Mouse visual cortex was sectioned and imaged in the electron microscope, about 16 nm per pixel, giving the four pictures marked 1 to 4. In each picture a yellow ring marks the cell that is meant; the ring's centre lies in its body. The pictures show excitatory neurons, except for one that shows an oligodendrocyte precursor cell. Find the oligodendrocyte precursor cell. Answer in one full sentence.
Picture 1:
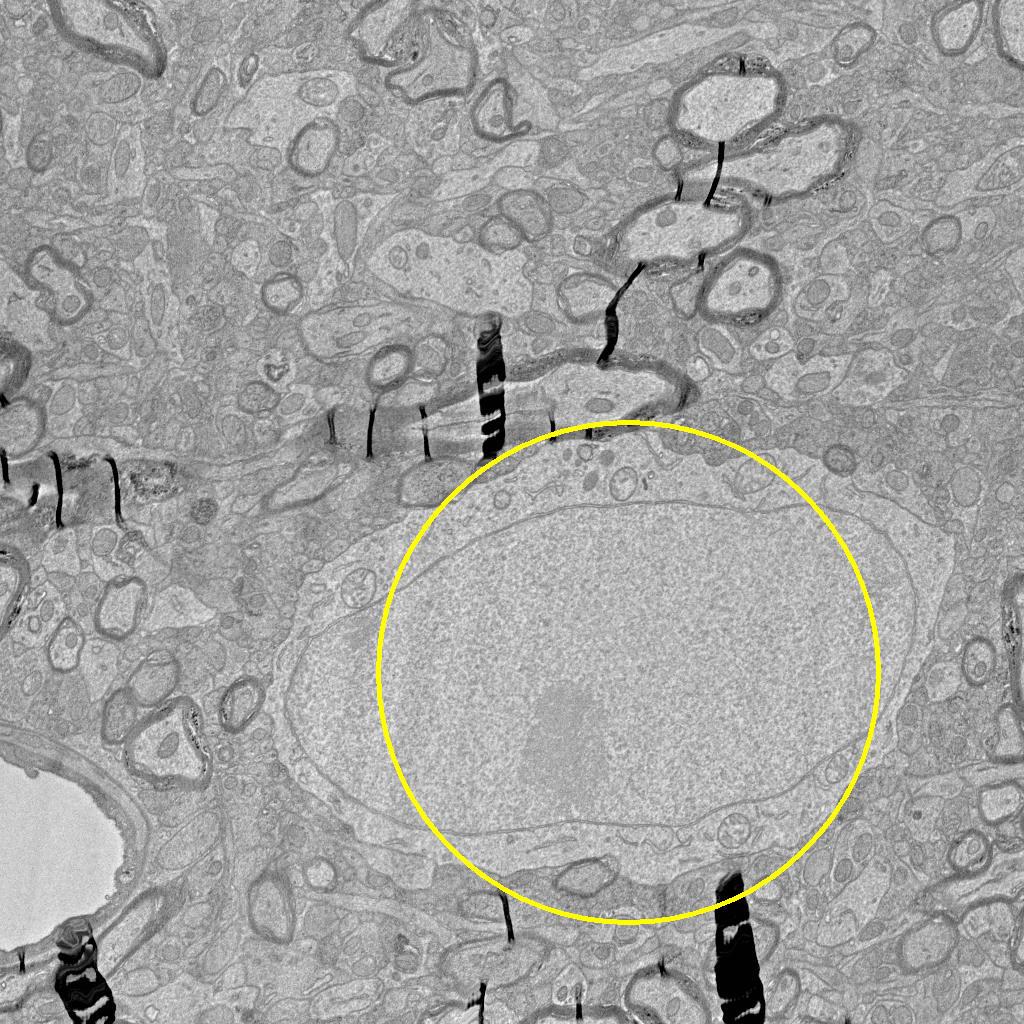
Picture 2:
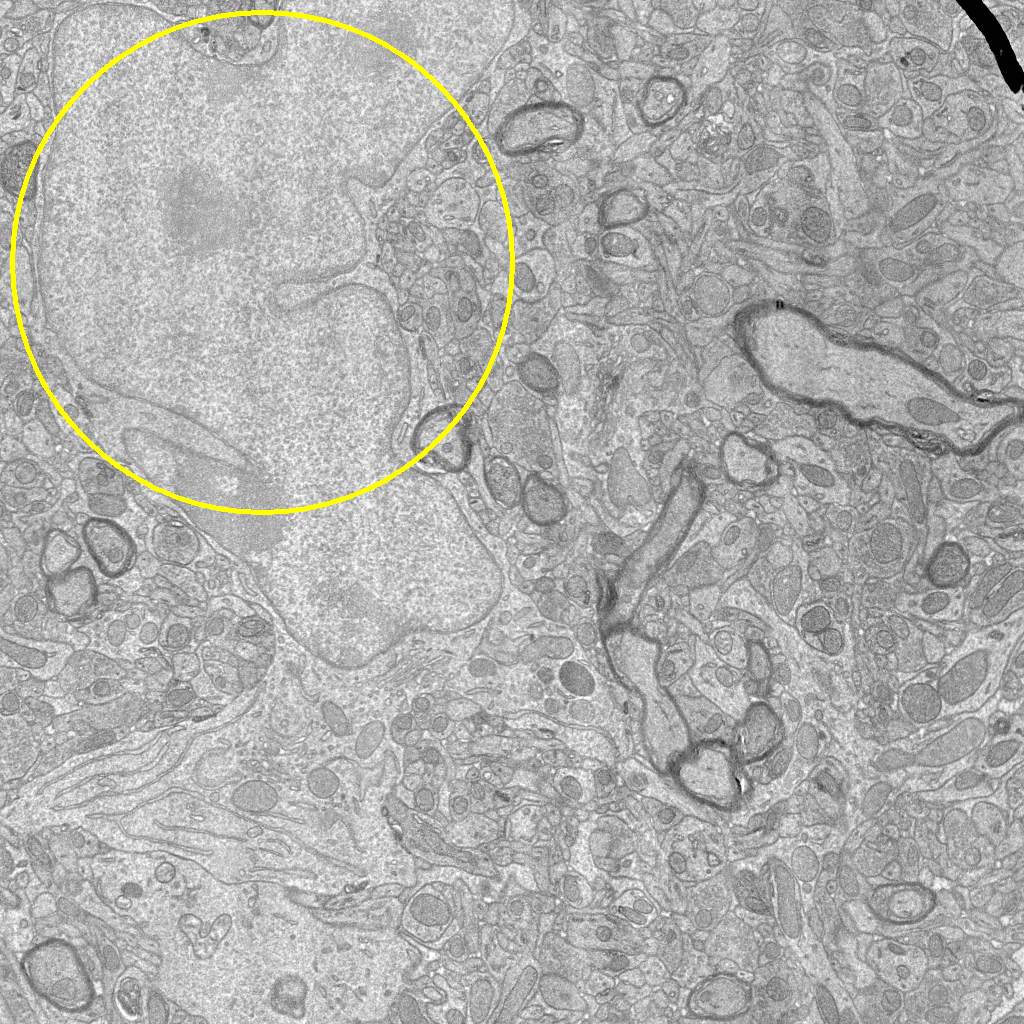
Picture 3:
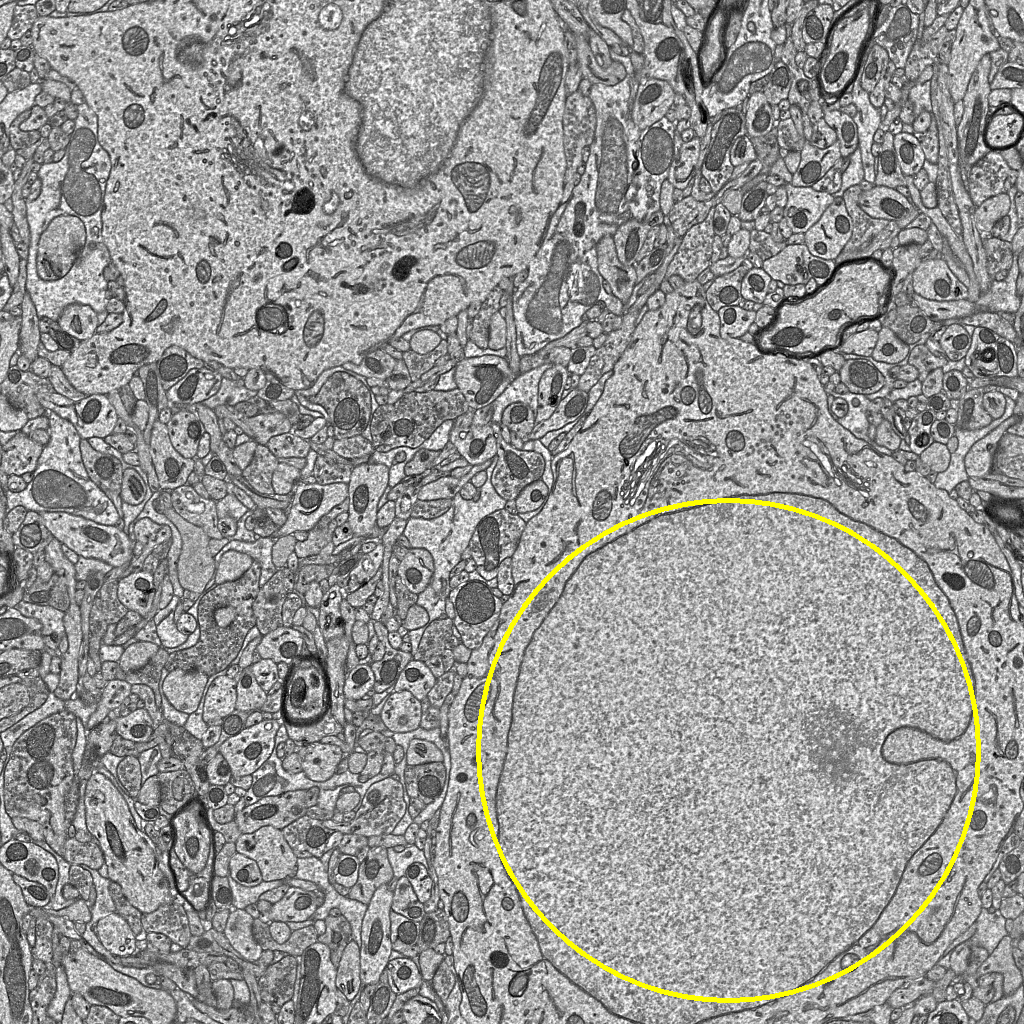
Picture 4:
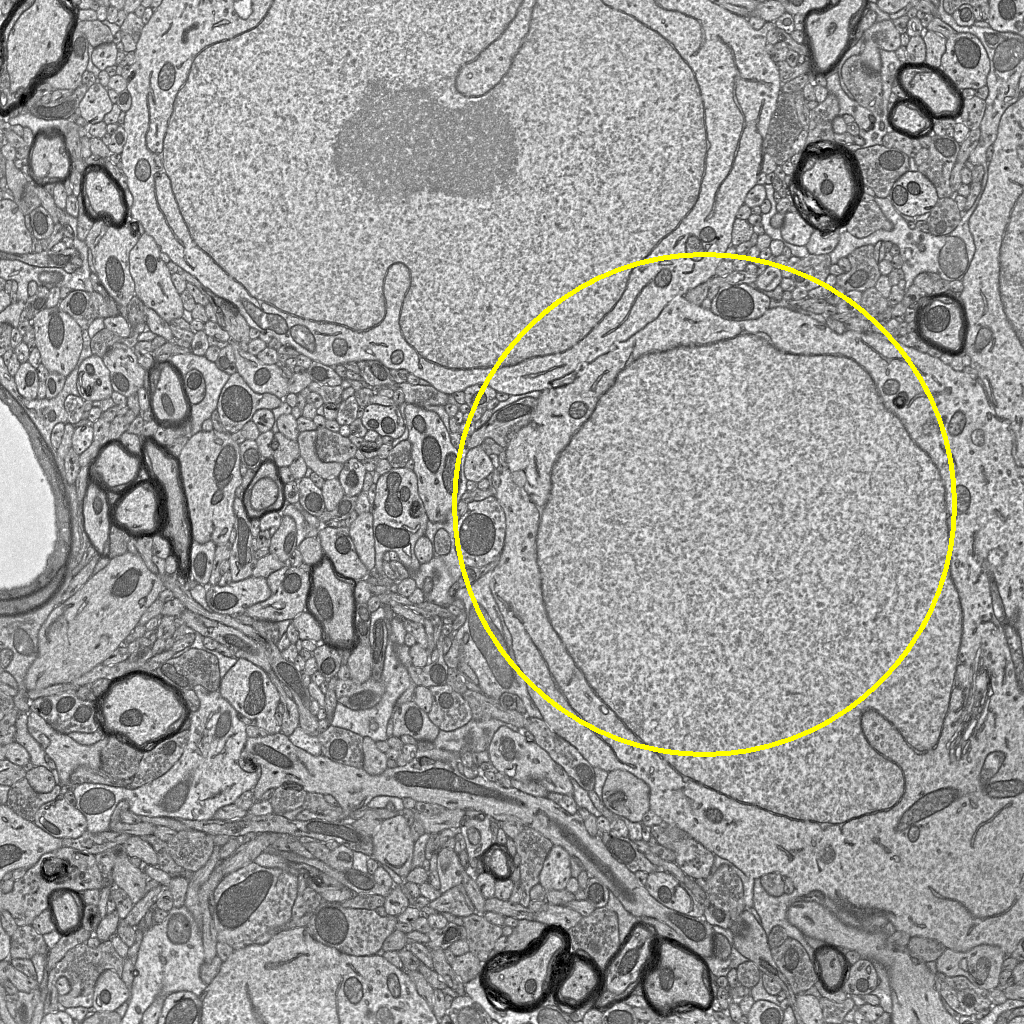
The picture with the oligodendrocyte precursor cell is 2.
